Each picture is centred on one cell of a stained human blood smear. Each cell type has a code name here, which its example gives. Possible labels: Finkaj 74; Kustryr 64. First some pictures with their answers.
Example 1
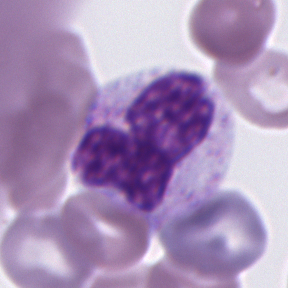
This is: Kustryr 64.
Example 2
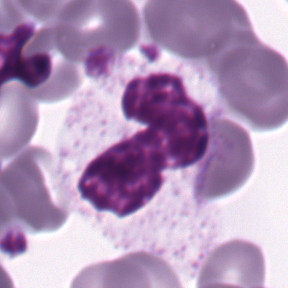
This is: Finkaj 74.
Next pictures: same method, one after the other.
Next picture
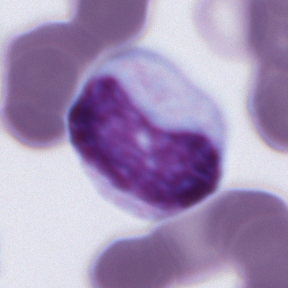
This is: Finkaj 74.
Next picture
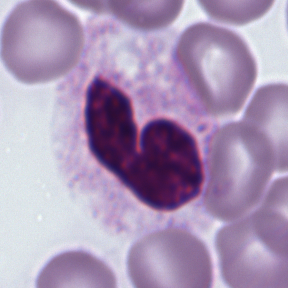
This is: Finkaj 74.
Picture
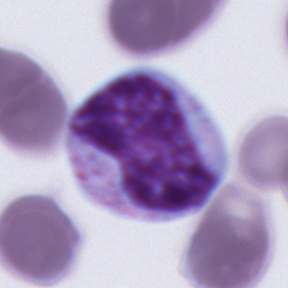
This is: Finkaj 74.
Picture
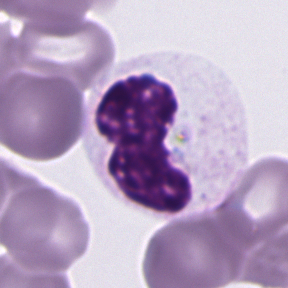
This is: Finkaj 74.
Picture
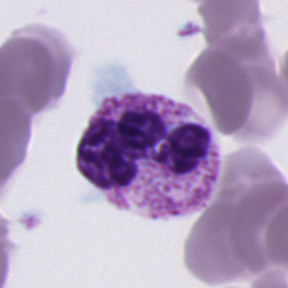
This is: Kustryr 64.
